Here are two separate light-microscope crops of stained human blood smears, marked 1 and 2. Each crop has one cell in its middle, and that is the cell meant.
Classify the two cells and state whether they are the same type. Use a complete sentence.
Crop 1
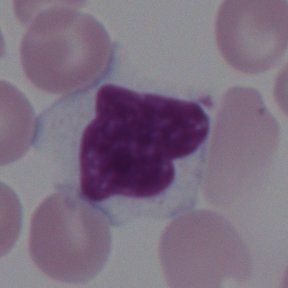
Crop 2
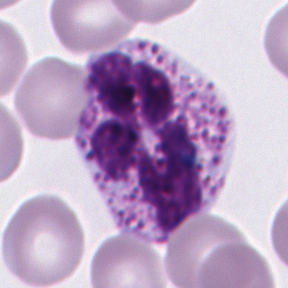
No, mark crop 1 as a typical lymphocyte and crop 2 as a basophil.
